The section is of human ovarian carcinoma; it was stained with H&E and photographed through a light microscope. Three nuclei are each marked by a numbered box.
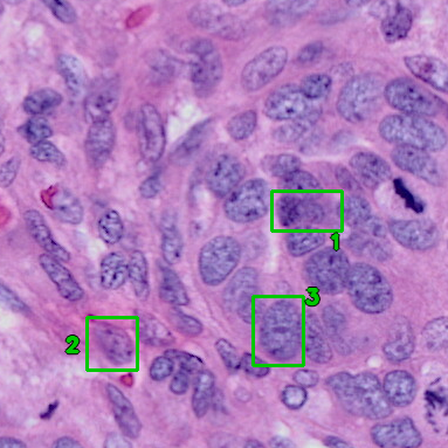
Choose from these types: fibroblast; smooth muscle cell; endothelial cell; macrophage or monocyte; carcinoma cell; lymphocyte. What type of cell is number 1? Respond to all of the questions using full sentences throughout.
Recognised here as a carcinoma cell is the cell numbered 1.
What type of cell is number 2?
The one labeled 2 is an endothelial cell, to put it simply.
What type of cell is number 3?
Marked with the number 3, this cell is a carcinoma cell.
